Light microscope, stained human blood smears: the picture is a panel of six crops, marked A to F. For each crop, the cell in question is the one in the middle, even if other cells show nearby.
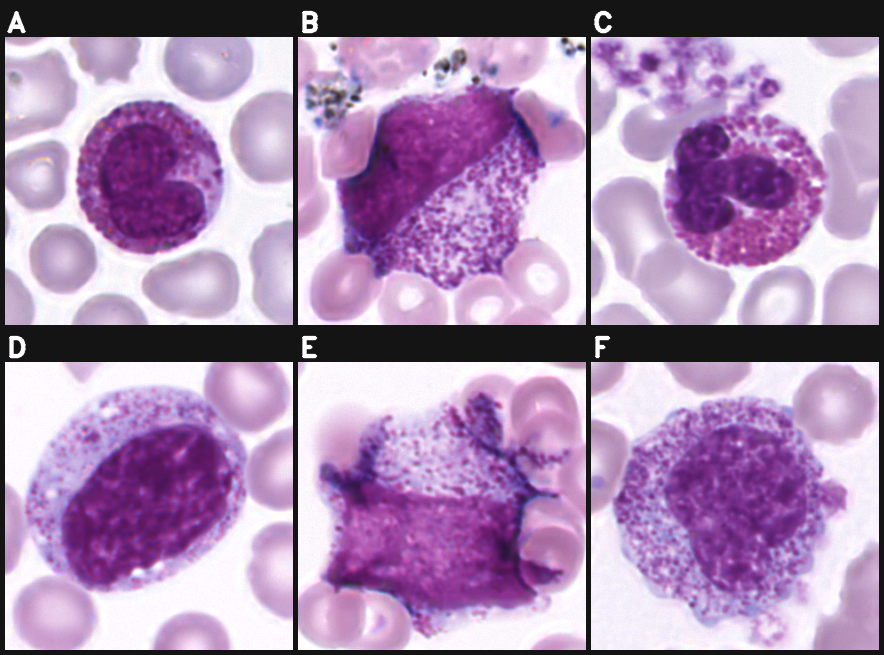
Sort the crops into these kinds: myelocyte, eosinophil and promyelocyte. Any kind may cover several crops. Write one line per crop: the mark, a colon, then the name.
A: eosinophil
B: promyelocyte
C: eosinophil
D: promyelocyte
E: promyelocyte
F: promyelocyte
